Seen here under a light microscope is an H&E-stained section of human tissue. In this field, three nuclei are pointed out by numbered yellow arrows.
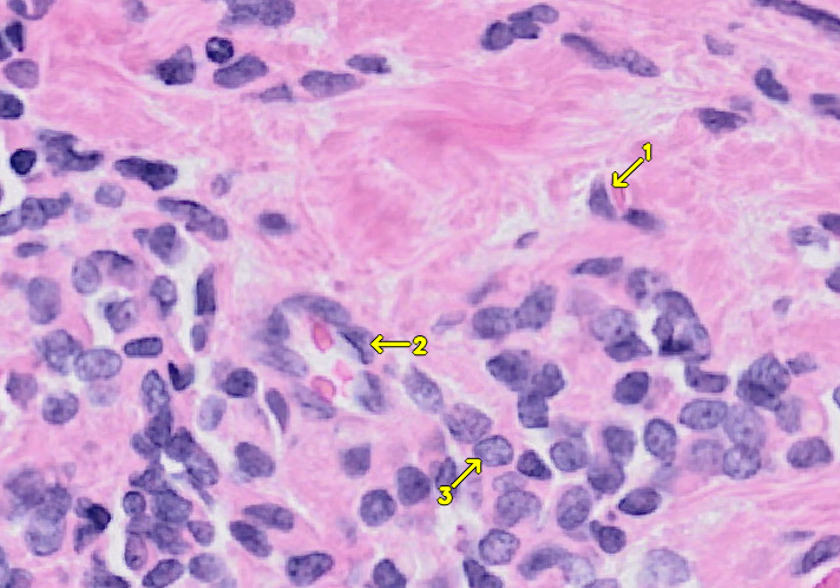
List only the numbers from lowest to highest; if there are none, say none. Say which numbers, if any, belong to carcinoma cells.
3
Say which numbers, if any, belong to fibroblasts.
none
